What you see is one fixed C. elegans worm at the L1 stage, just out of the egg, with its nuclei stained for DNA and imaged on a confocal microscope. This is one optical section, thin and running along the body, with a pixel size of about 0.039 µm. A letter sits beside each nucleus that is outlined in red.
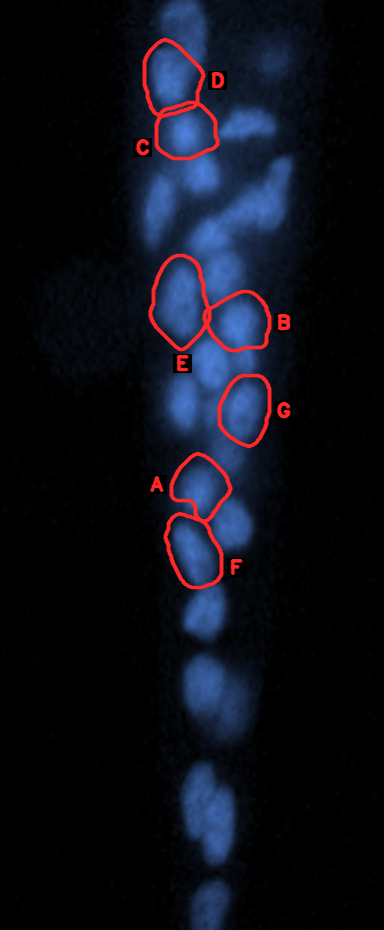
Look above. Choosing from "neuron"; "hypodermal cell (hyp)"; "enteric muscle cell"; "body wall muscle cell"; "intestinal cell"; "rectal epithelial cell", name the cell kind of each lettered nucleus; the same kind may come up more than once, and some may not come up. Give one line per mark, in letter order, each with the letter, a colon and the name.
A: neuron
B: enteric muscle cell
C: neuron
D: neuron
E: rectal epithelial cell
F: hypodermal cell (hyp)
G: body wall muscle cell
